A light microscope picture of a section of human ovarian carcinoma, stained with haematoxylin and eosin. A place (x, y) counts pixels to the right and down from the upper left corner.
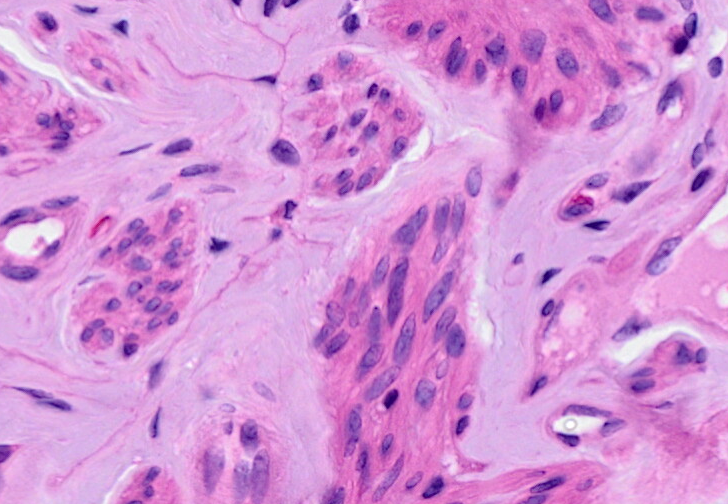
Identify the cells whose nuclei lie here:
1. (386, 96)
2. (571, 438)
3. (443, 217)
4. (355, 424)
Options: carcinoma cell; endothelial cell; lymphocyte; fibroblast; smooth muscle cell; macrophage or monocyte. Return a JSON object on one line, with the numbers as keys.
{"1": "smooth muscle cell", "2": "endothelial cell", "3": "smooth muscle cell", "4": "smooth muscle cell"}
